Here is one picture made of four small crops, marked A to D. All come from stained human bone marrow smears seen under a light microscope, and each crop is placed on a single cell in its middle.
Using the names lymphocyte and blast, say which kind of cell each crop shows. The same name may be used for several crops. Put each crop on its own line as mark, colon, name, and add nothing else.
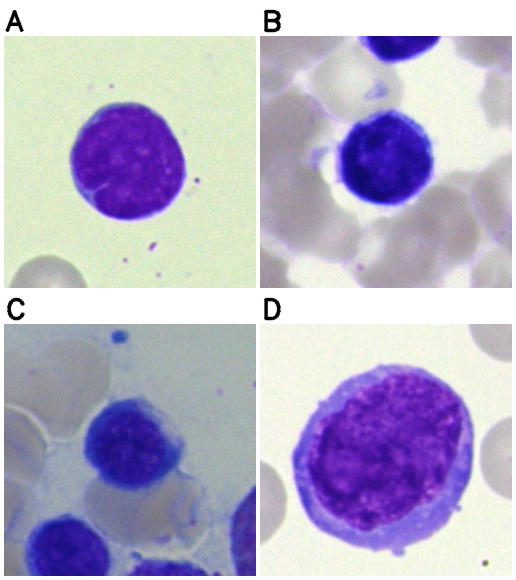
A: lymphocyte
B: lymphocyte
C: lymphocyte
D: blast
